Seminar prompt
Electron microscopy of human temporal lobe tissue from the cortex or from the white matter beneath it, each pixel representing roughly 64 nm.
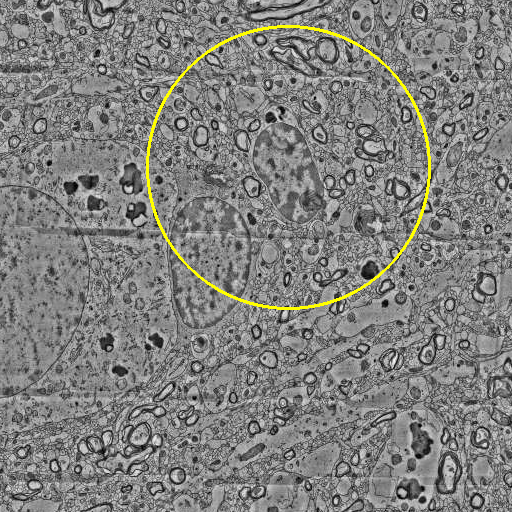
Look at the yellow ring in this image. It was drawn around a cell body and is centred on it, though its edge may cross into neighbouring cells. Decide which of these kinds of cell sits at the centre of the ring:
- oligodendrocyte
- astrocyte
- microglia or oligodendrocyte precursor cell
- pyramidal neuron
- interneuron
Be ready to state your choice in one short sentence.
The kind of cell at the ring's centre is a microglial cell or oligodendrocyte precursor cell.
